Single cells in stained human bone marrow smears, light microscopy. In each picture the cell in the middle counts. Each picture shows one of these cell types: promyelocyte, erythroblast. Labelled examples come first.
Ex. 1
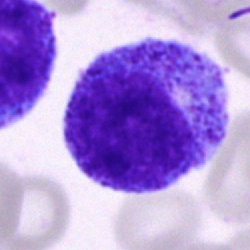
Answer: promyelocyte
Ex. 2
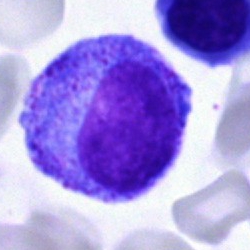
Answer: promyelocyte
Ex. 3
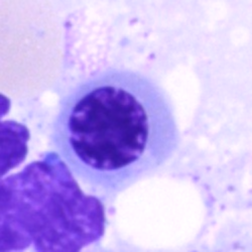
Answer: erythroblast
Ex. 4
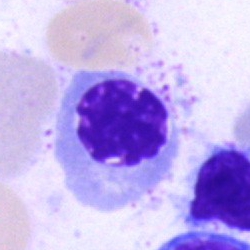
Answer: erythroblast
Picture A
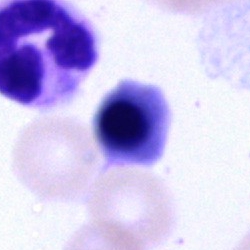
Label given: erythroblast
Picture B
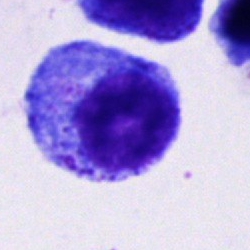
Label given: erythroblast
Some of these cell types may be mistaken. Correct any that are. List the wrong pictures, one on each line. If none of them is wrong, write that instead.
B: change erythroblast to promyelocyte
